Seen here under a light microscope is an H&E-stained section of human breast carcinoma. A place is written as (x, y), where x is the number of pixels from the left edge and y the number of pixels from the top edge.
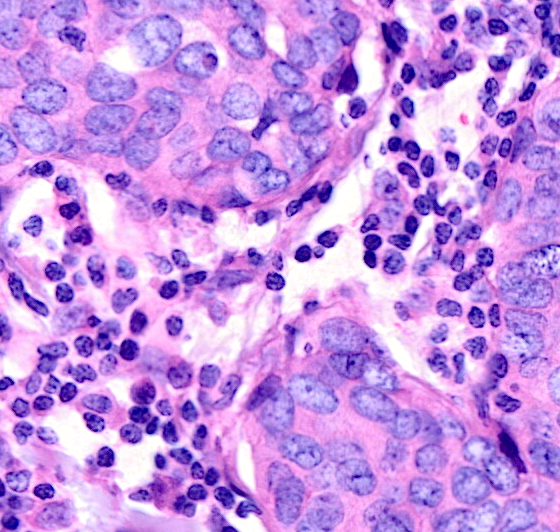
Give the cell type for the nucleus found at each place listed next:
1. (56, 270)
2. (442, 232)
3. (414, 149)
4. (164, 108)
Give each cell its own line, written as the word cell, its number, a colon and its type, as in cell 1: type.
cell 1: lymphocyte
cell 2: lymphocyte
cell 3: lymphocyte
cell 4: carcinoma cell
